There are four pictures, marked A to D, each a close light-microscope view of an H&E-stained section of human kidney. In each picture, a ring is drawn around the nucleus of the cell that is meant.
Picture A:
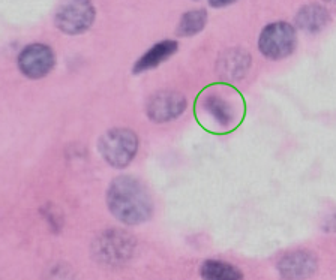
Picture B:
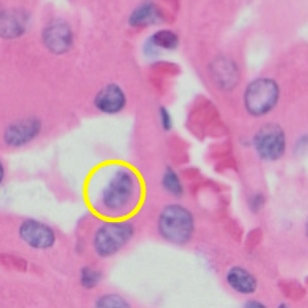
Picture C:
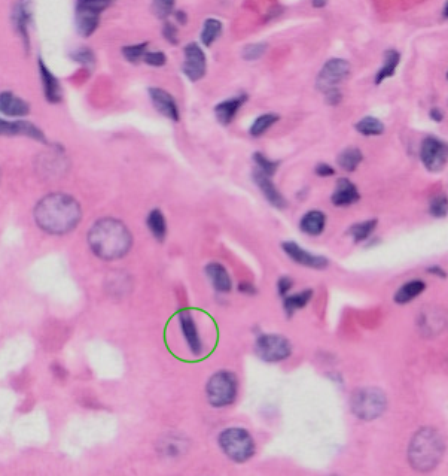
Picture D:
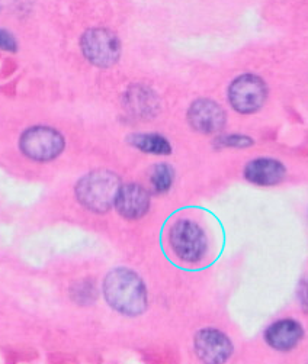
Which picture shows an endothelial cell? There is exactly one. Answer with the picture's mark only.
C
